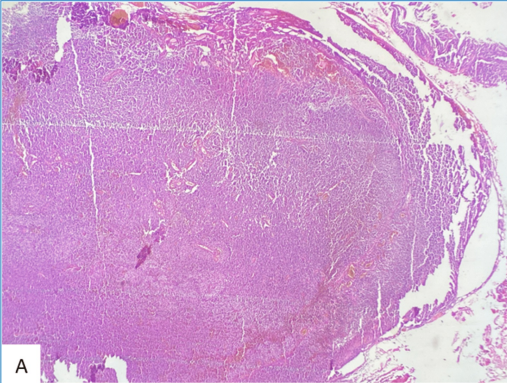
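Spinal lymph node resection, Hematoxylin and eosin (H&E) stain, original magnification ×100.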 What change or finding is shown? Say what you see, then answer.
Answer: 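Completely obliterated architecture. The node is filled by a sheet of densely packed small dark cells. No normal follicles or sinuses can be made out. The capsule at the edge is stretched around the cell mass.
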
